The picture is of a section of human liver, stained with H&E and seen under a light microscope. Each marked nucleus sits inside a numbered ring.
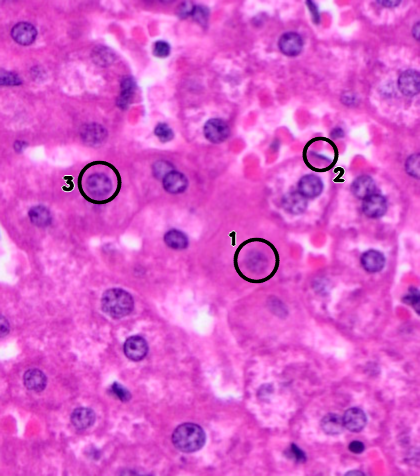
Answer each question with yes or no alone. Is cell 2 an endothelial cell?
yes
